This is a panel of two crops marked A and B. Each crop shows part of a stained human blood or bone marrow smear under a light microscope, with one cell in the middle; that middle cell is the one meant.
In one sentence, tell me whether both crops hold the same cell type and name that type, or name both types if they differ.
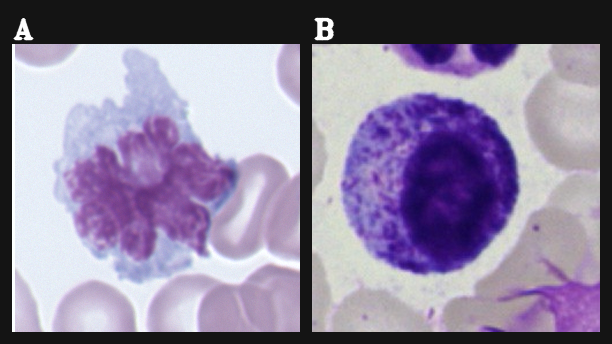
No, crop A corresponds to a monocyte, while crop B corresponds to a myelocyte.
